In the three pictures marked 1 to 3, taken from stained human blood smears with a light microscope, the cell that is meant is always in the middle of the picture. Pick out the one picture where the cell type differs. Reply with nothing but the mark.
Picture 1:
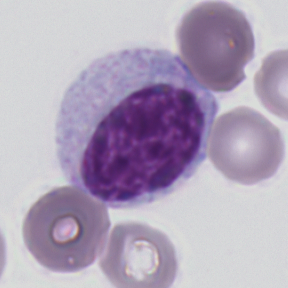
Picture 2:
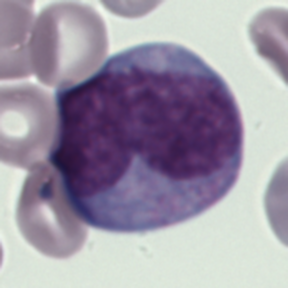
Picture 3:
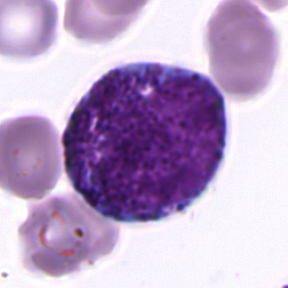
1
